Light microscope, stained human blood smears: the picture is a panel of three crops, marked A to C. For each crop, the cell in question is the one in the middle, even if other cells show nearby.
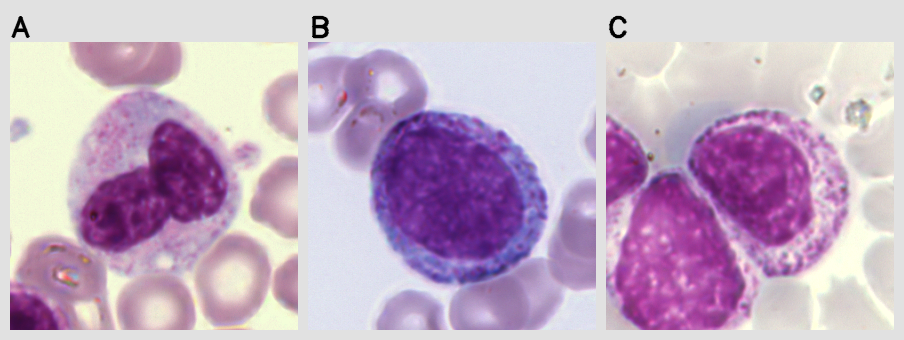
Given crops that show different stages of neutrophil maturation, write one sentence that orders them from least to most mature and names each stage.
Least to most mature, the crops line up as crop B (a promyelocyte), crop C (a myelocyte) and crop A (a band neutrophil).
